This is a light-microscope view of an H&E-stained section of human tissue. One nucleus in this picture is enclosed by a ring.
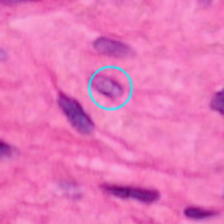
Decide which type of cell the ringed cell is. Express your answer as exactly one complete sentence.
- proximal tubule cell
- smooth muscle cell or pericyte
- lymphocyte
As to its cell type, the ringed cell is a smooth muscle cell or pericyte.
